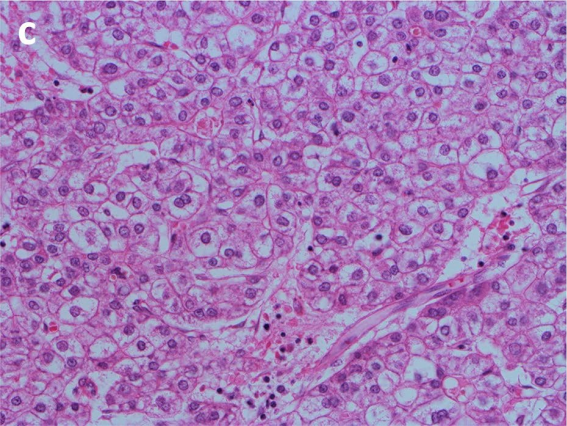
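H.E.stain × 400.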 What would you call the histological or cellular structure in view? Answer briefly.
Cord-like structure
